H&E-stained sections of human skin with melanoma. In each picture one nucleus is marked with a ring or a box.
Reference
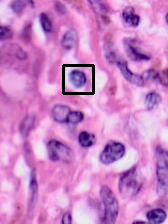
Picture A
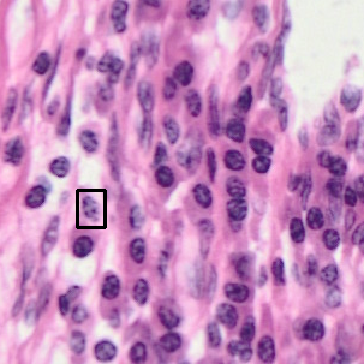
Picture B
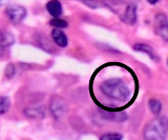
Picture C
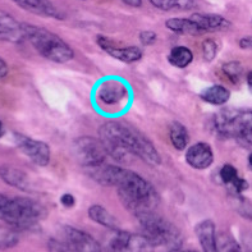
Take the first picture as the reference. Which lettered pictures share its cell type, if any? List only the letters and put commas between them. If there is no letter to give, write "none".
C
